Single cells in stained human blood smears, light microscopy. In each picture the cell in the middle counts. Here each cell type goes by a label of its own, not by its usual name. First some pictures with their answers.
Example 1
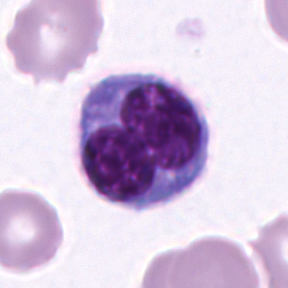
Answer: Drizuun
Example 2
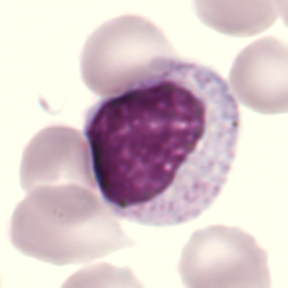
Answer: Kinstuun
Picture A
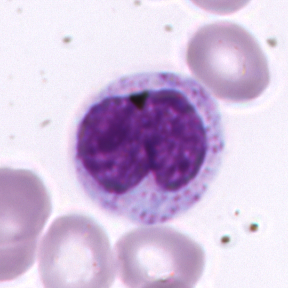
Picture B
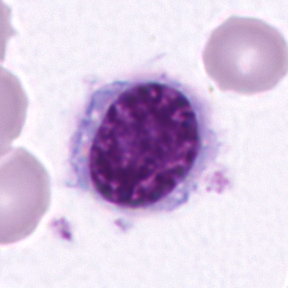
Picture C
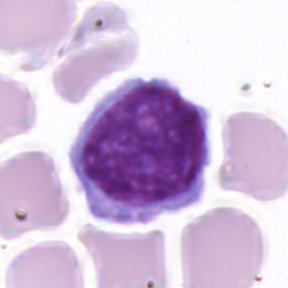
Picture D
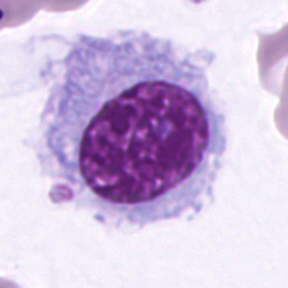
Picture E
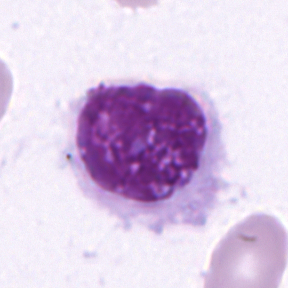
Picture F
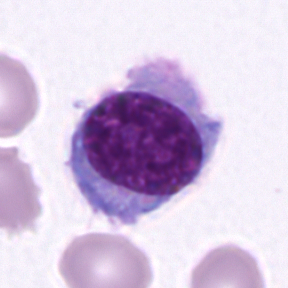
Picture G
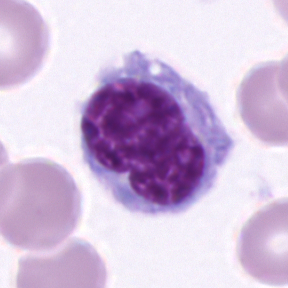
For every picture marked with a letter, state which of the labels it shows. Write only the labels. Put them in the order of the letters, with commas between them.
Kinstuun, Drizuun, Drizuun, Drizuun, Drizuun, Drizuun, Drizuun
